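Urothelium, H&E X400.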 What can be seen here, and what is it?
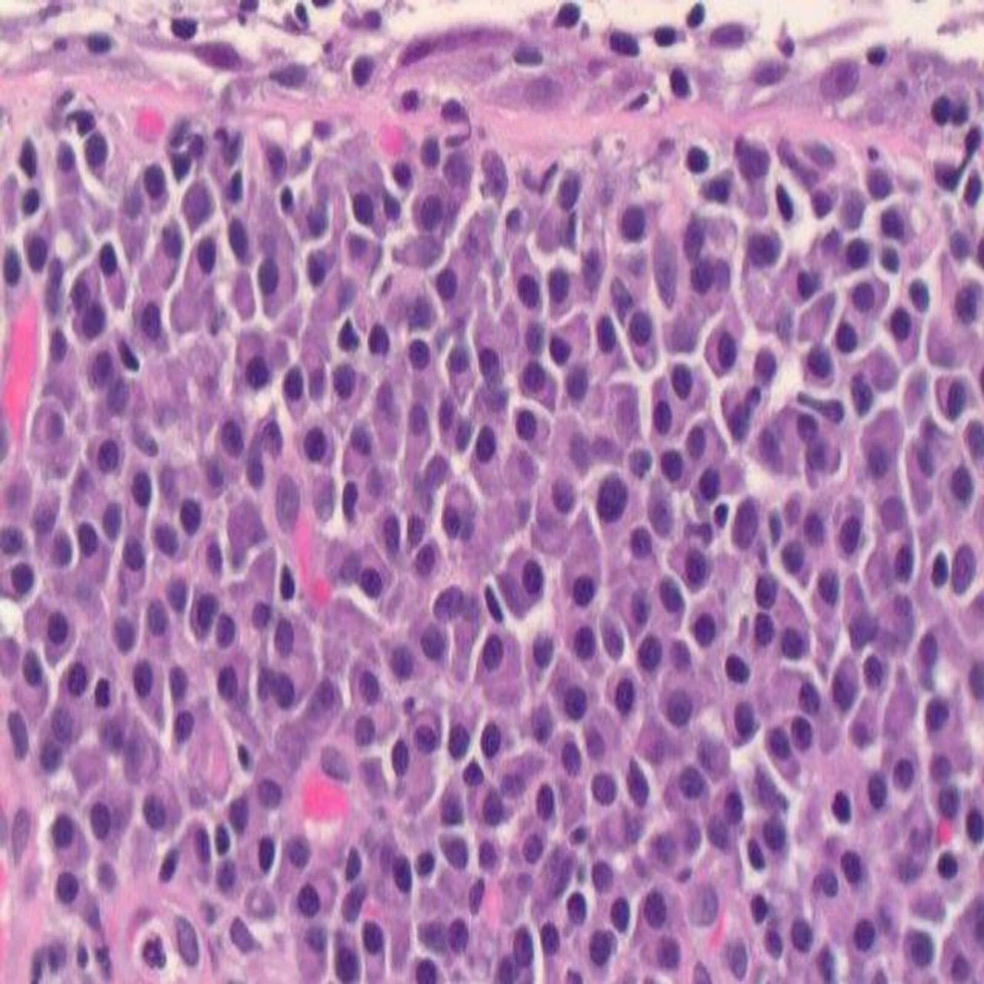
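Submucosa packed with sheets of mature plasma cells. The cells are round to oval, each with a round, dark, often eccentric nucleus and a moderate rim of purple-pink cytoplasm. A few small vessels with pink red cells lie among them, and only a thin flattened layer lines the surface at the top, with no full covering epithelium.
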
